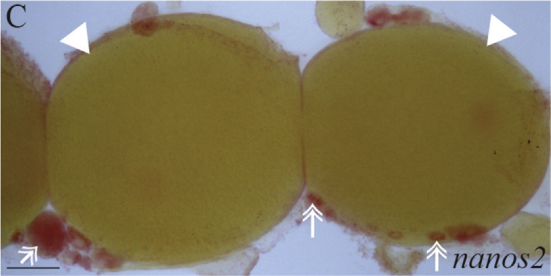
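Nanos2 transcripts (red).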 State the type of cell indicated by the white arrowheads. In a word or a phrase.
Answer: Large, yolky oocytes.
